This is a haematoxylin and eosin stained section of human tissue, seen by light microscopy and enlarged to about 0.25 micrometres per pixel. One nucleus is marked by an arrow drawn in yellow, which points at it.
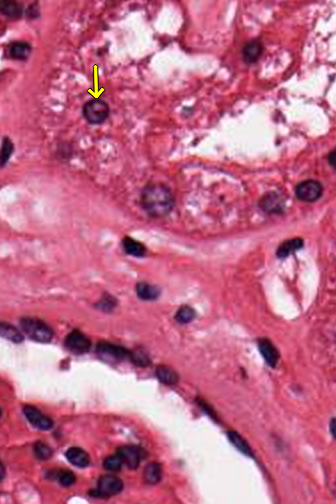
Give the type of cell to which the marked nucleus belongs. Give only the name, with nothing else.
proximal tubule cell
